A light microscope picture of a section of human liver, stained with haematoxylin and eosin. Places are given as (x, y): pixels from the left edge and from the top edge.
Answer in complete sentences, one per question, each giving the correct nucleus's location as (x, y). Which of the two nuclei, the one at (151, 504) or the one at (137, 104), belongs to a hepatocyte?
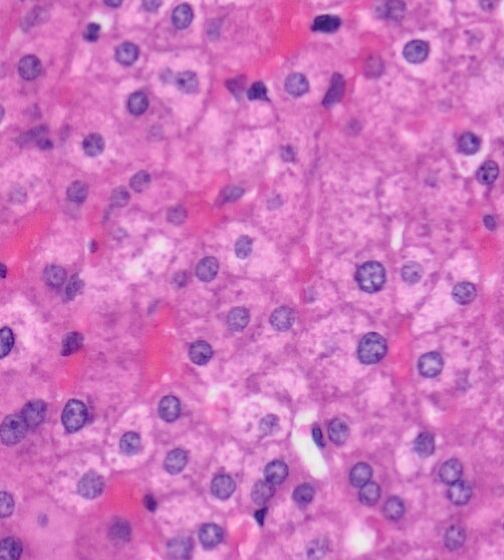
The nucleus whose position is (137, 104) belongs to a hepatocyte.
